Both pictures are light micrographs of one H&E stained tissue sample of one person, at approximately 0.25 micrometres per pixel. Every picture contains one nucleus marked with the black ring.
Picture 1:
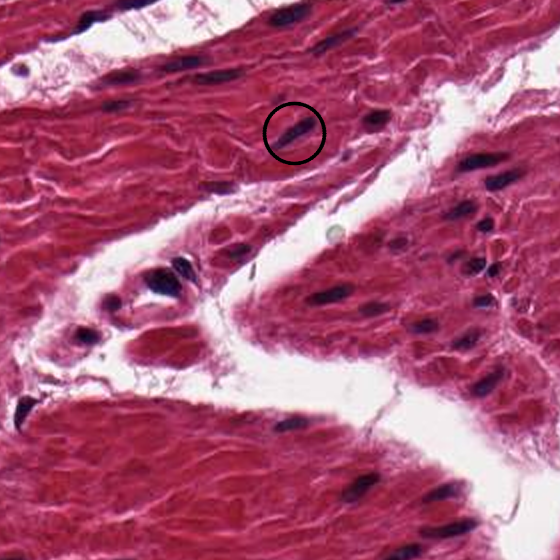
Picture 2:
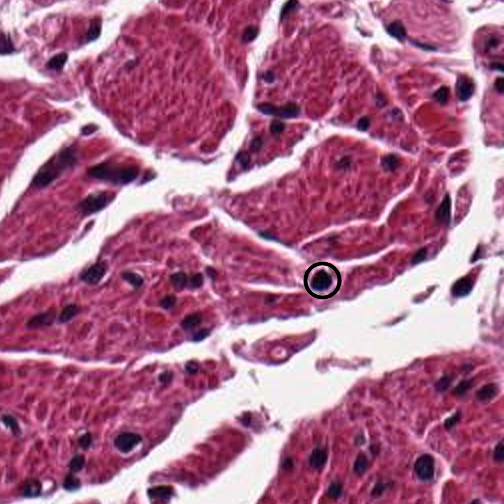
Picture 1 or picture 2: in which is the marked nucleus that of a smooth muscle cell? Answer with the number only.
1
